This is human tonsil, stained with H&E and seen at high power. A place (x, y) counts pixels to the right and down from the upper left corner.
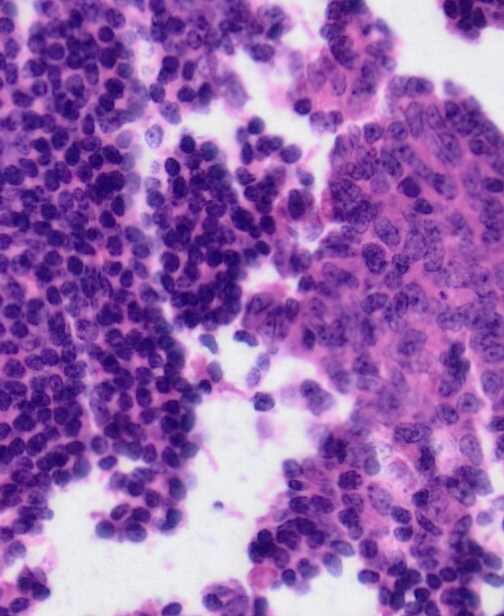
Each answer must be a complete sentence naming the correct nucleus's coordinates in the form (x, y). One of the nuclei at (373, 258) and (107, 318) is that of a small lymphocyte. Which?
The pair contains one nucleus of a small lymphocyte, namely the one at (107, 318).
